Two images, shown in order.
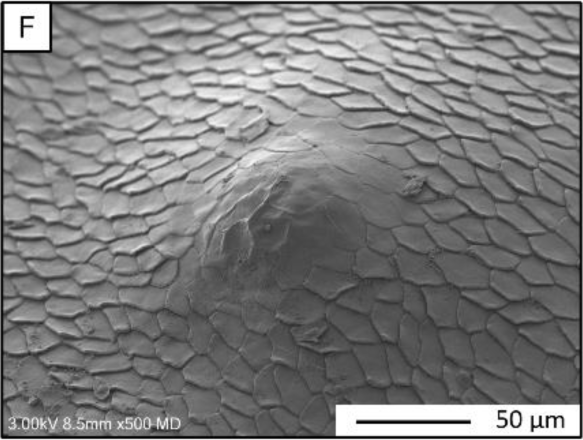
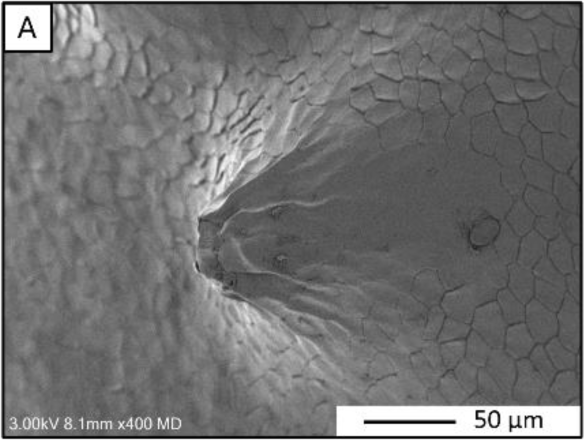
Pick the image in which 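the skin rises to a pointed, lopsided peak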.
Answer: The second image.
